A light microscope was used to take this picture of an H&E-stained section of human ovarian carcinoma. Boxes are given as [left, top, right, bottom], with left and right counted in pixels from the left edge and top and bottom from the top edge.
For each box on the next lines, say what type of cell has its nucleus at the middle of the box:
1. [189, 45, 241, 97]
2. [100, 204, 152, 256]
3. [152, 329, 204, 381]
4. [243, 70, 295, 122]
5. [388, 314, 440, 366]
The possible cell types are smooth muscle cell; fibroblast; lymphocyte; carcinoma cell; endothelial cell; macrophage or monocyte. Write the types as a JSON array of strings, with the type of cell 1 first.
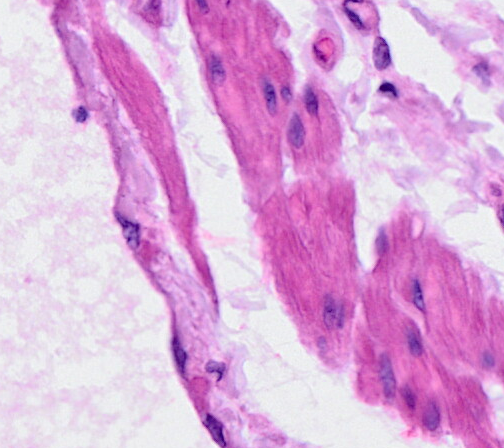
["smooth muscle cell", "endothelial cell", "endothelial cell", "smooth muscle cell", "smooth muscle cell"]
